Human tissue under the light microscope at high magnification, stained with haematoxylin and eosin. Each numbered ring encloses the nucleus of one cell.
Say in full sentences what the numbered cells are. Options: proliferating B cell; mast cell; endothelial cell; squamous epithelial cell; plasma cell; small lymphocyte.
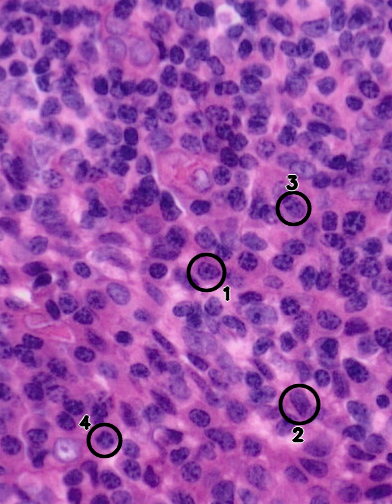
Cells 1, 3 and 4 are plasma cells. Cell 2 is a squamous epithelial cell.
